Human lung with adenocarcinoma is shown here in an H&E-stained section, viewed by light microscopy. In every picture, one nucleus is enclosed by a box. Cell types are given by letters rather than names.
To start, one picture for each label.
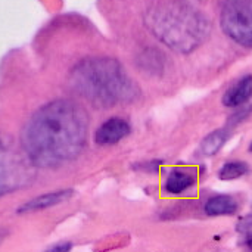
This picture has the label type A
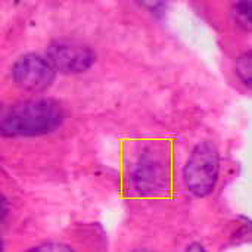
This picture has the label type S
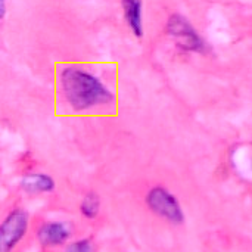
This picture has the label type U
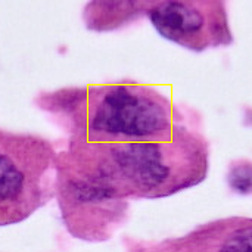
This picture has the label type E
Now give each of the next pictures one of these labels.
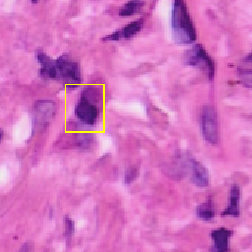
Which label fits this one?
type A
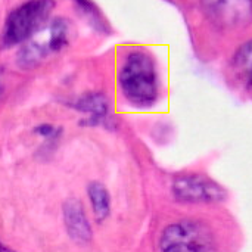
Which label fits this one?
type E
